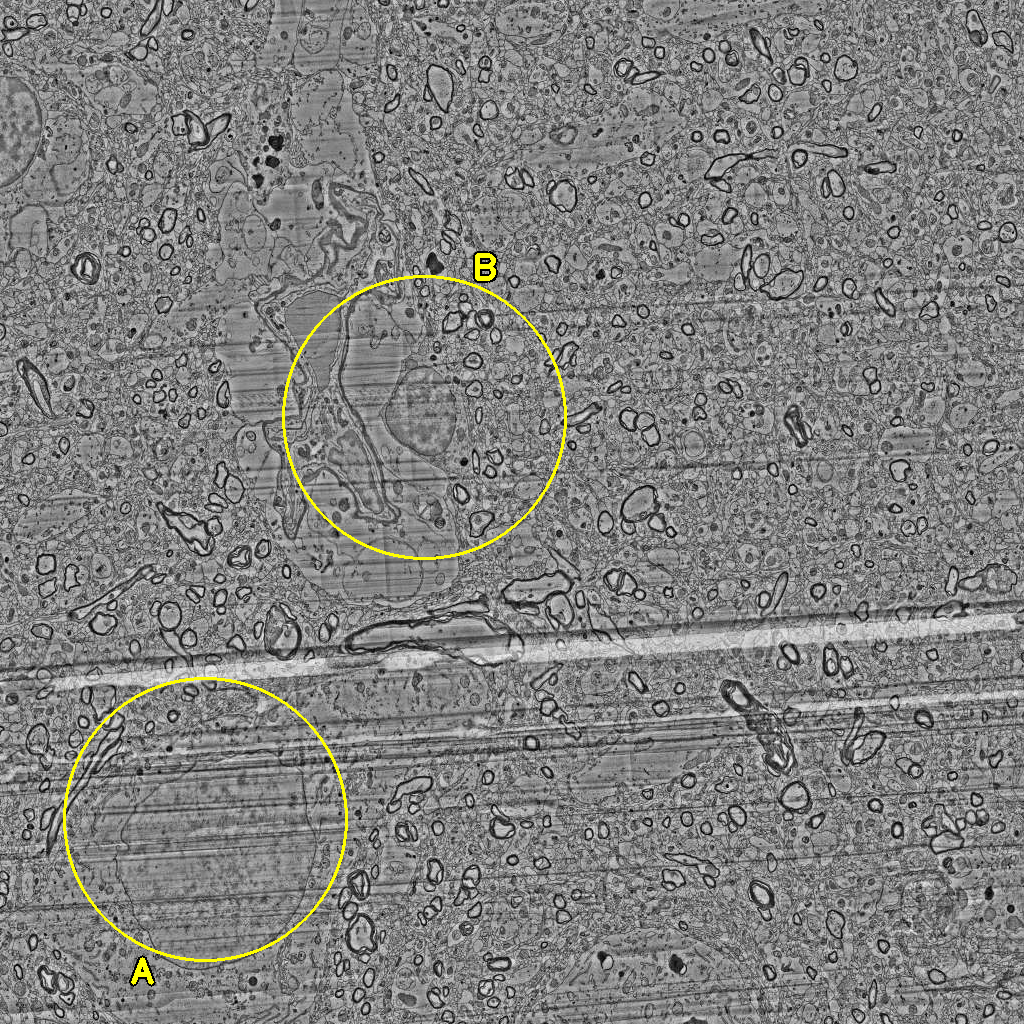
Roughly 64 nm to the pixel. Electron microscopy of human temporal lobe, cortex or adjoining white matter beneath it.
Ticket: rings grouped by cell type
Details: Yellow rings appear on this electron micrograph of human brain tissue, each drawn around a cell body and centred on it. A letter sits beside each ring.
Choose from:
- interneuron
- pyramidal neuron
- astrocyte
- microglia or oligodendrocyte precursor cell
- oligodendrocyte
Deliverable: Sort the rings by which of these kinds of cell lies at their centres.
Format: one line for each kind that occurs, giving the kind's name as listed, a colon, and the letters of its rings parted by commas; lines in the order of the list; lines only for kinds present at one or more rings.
pyramidal neuron: A
oligodendrocyte: B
